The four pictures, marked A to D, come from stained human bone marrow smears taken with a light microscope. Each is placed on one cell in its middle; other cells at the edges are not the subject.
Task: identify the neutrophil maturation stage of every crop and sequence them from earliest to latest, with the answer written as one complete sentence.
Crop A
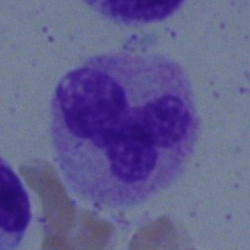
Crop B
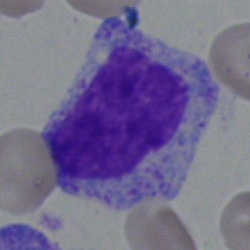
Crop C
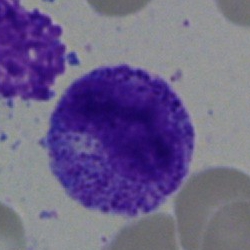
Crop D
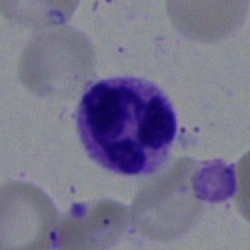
Once sorted from least to most mature, the sequence is crop C (a promyelocyte), crop B (a myelocyte), crop A (a band neutrophil) and crop D (a segmented neutrophil).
